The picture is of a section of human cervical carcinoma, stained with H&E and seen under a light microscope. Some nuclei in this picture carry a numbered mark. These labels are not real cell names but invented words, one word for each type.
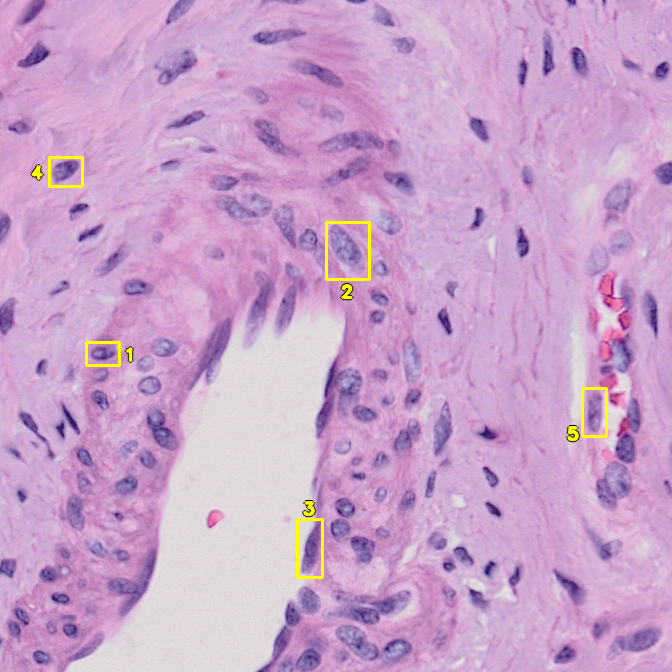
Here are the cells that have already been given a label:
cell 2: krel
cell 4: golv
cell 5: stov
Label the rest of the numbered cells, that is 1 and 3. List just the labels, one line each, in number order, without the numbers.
krel
stov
